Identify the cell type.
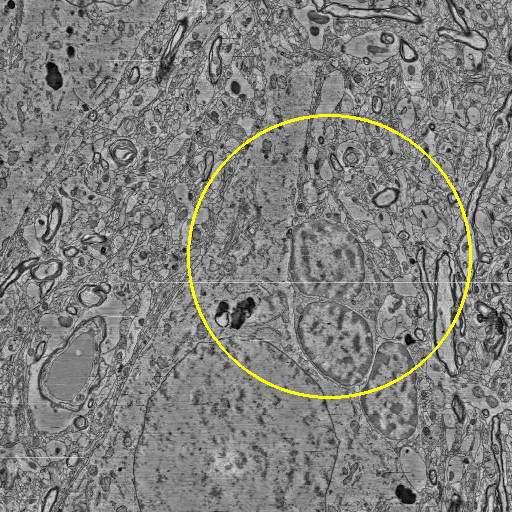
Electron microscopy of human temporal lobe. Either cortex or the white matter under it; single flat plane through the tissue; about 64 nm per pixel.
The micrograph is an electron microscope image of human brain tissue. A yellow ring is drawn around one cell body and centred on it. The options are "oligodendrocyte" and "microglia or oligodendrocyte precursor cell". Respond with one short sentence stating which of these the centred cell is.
The cell body in the ring belongs to an oligodendrocyte.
